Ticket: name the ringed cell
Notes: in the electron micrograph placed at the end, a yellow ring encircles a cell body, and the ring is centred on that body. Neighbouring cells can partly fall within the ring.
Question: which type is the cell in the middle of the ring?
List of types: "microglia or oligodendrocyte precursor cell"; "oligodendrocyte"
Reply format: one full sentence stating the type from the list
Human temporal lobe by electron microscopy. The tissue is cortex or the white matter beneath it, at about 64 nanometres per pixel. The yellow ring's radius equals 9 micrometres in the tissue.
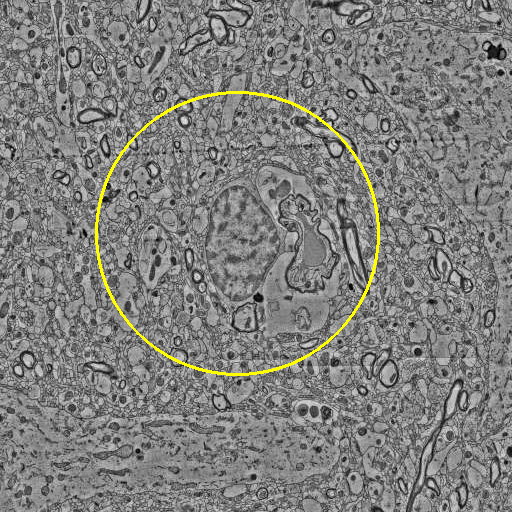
The cell sitting at the centre of the yellow ring is an oligodendrocyte.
